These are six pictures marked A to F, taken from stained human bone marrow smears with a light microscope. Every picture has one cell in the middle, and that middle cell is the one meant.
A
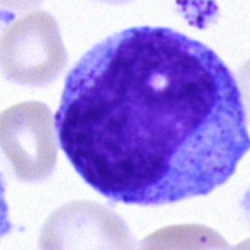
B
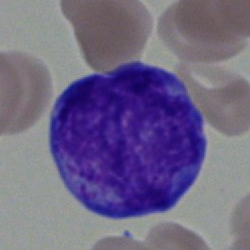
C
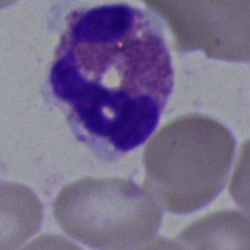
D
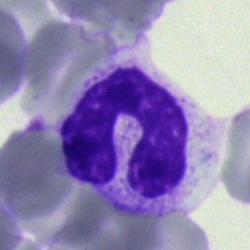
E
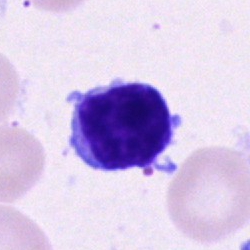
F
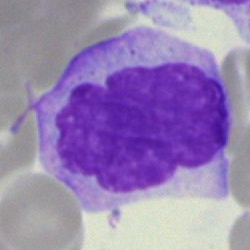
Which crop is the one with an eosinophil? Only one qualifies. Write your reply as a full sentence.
Crop C is the crop featuring an eosinophil at its center.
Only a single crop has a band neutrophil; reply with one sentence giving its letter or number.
Crop D alone, of all the crops, shows a band neutrophil.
